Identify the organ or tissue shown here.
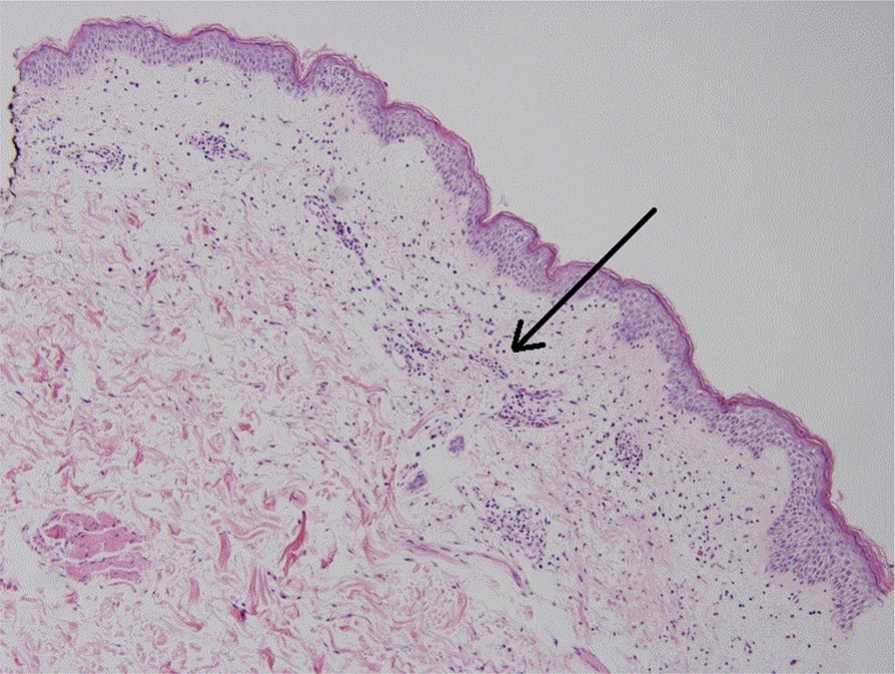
Skin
